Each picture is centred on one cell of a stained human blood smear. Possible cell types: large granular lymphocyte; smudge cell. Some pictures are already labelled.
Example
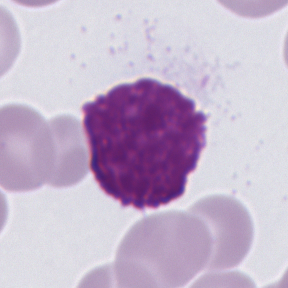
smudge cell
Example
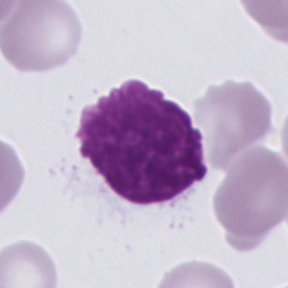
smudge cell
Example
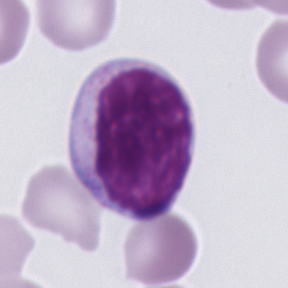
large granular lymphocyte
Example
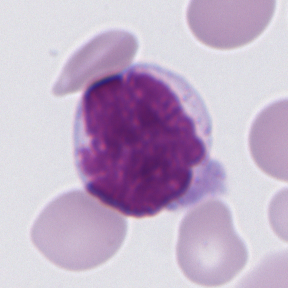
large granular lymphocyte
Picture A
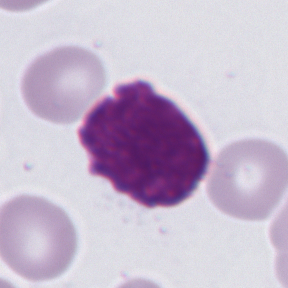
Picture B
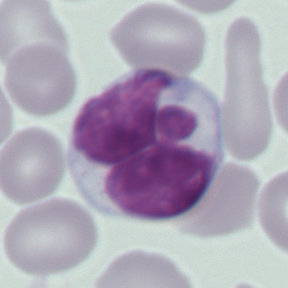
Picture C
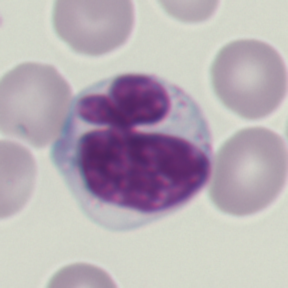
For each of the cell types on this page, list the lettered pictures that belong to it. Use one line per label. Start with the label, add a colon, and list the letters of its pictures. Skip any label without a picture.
large granular lymphocyte: B, C
smudge cell: A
